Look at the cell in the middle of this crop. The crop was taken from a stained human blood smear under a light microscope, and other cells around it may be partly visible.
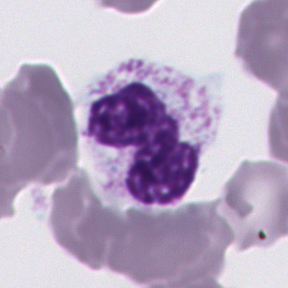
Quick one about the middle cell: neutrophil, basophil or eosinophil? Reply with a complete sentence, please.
In the centre of this crop there is a neutrophil.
